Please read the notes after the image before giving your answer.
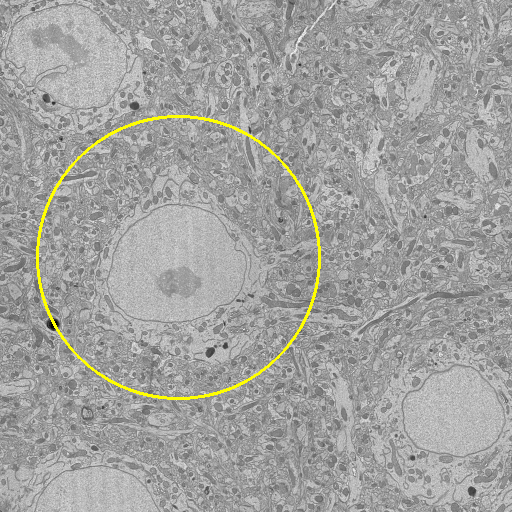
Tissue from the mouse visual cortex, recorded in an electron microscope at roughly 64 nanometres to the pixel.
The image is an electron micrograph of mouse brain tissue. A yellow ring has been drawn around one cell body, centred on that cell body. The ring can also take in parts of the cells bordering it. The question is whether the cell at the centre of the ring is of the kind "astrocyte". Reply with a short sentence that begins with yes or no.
No, the cell at the centre is of another kind.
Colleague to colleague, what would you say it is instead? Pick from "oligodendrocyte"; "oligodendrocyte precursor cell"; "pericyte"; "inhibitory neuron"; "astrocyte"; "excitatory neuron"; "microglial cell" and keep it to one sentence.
At the centre of the ring sits an excitatory neuron.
